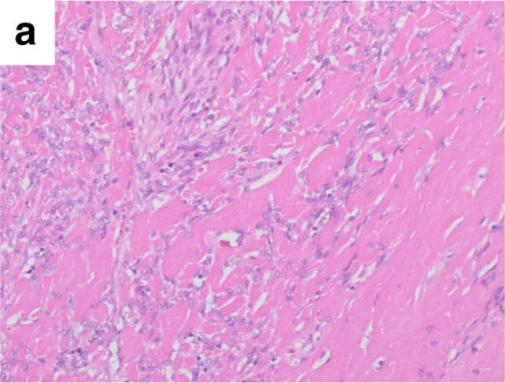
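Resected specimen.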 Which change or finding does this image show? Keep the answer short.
Hyalinized fibrosis.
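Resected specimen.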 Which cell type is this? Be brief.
Spindle-shaped cells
